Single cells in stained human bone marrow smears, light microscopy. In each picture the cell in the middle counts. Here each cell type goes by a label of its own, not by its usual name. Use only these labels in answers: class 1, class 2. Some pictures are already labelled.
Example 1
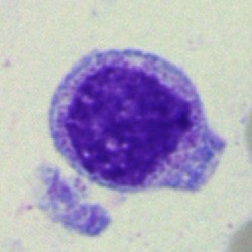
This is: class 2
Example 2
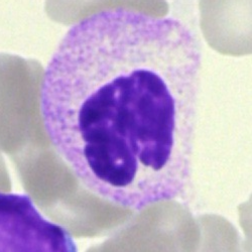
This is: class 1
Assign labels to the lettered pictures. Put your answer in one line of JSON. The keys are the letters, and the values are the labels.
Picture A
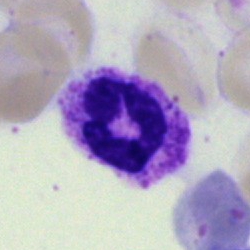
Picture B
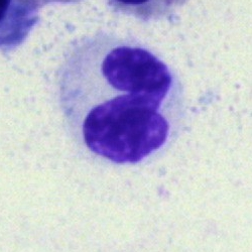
{"A": "class 1", "B": "class 1"}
